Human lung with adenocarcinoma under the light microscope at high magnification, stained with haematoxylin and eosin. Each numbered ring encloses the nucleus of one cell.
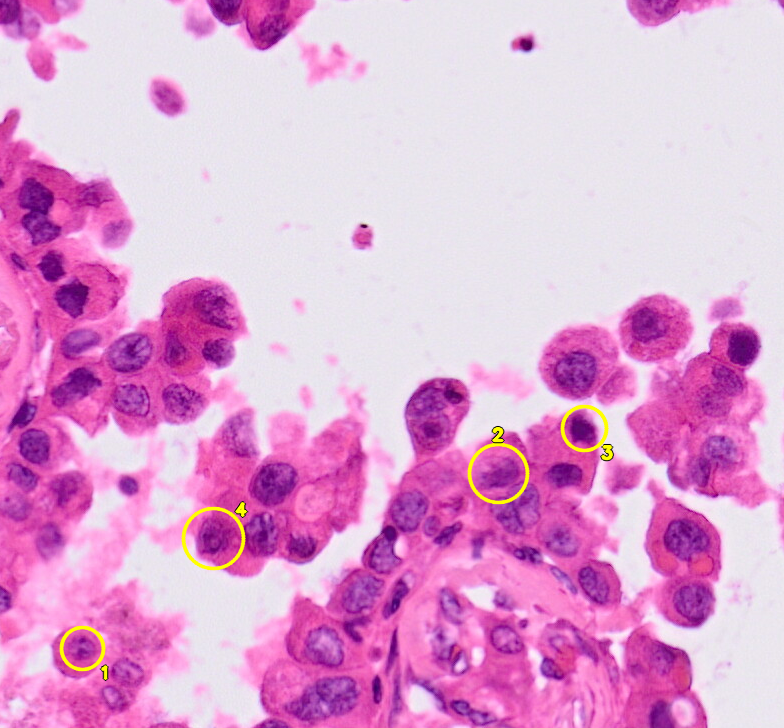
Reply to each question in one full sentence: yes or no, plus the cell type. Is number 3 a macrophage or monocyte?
No, the cell given number 3 is a carcinoma cell, as opposed to a macrophage or monocyte.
